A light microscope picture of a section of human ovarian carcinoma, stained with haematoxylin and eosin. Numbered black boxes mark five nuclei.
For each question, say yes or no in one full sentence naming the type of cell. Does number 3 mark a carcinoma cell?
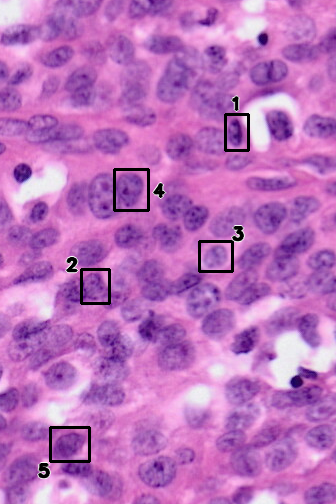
No, the cell given number 3 is a macrophage or monocyte, as opposed to a carcinoma cell.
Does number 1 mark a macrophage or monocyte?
Yes, within this section, cell number 1 is a macrophage or monocyte.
